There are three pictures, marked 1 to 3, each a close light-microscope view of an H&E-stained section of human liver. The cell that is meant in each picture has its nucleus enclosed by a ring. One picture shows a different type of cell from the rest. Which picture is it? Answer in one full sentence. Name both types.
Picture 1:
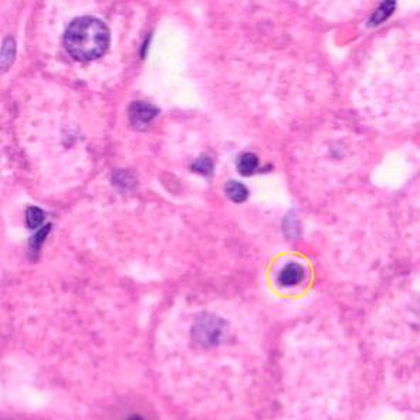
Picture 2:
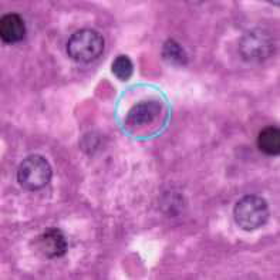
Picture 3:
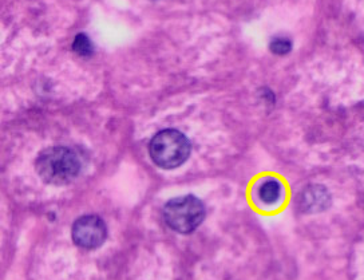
Picture 2 differs, because its cell is an endothelial cell and the rest are lymphocytes.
